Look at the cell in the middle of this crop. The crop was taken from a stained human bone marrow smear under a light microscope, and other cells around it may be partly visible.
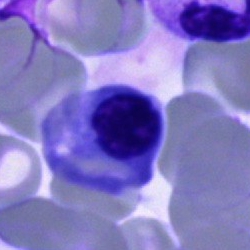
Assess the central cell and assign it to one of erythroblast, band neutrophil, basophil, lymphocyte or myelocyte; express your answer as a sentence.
The cell in the middle of this crop is an erythroblast.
